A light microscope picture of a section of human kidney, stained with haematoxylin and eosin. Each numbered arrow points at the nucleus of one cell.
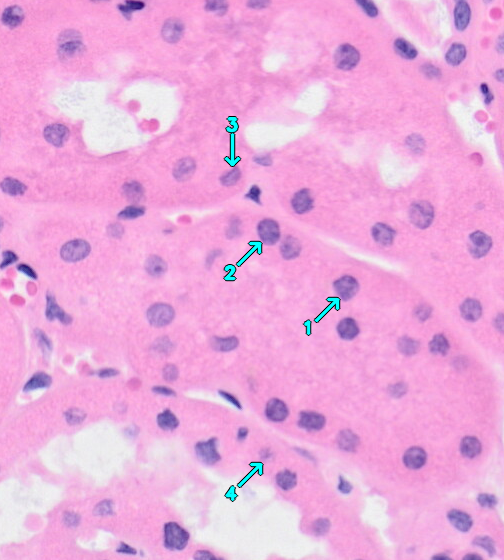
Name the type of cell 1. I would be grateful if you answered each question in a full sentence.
The one numbered 1 among the marked cells is a proximal tubule cell.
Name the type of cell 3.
Of the numbered cells, the one labelled 3 is a proximal tubule cell.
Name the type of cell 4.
In the tissue shown, cell 4 is a loop of Henle or distal tubule cell.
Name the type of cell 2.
Among the marked nuclei, number 2 belongs to a proximal tubule cell.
